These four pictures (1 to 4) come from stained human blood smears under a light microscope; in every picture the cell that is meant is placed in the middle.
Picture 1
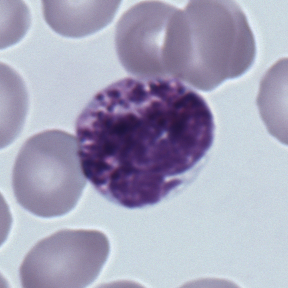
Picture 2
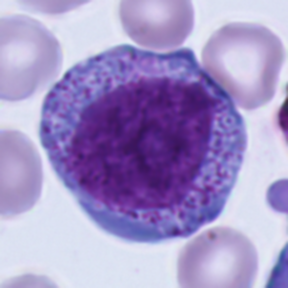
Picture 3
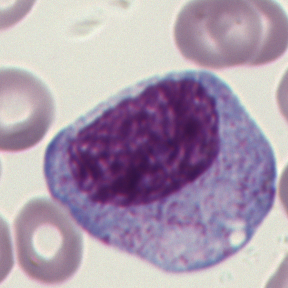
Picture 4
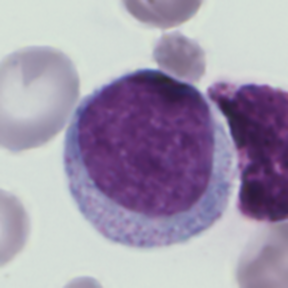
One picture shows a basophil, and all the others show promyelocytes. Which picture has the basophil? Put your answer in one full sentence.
The basophil is the one in picture 1.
